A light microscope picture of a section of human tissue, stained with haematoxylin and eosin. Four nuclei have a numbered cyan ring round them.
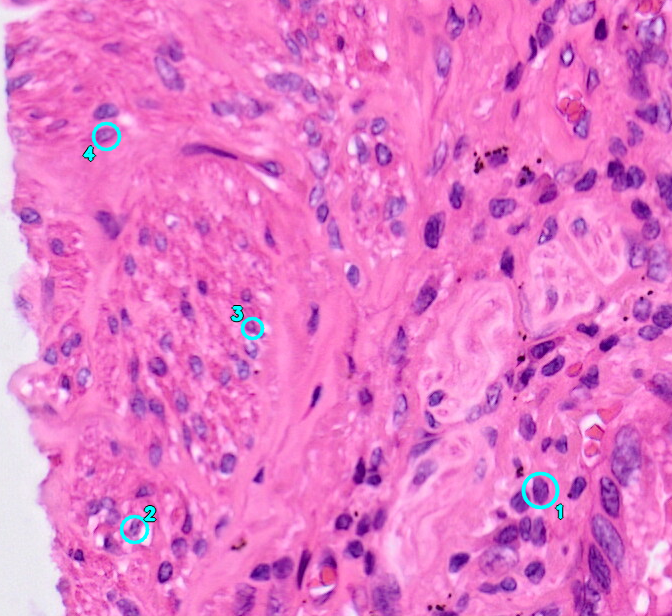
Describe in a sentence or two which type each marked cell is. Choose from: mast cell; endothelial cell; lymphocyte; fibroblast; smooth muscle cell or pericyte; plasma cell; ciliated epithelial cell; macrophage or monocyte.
Cell 1 is a lymphocyte. Cells 2, 3 and 4 are smooth muscle cells or pericytes.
